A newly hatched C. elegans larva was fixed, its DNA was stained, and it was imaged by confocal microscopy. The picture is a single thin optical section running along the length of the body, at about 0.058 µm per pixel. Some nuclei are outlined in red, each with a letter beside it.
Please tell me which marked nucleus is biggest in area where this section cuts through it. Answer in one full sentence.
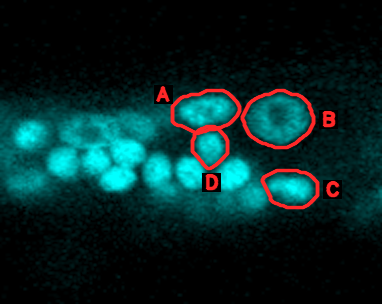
Of the marked nuclei, B is the biggest in this section.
